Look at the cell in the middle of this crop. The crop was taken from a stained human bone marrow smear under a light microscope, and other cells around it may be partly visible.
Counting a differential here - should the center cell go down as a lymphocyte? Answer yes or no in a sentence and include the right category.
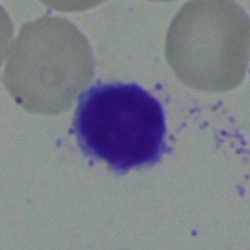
Yes, the cell at the crop's center is a lymphocyte.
